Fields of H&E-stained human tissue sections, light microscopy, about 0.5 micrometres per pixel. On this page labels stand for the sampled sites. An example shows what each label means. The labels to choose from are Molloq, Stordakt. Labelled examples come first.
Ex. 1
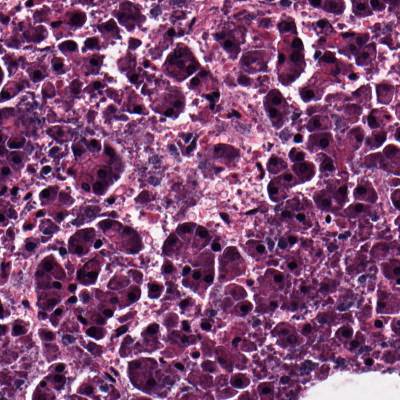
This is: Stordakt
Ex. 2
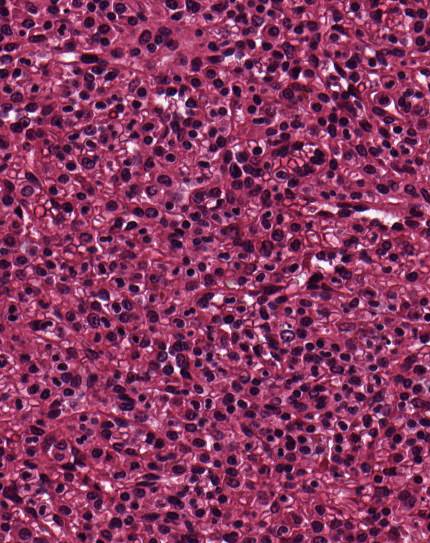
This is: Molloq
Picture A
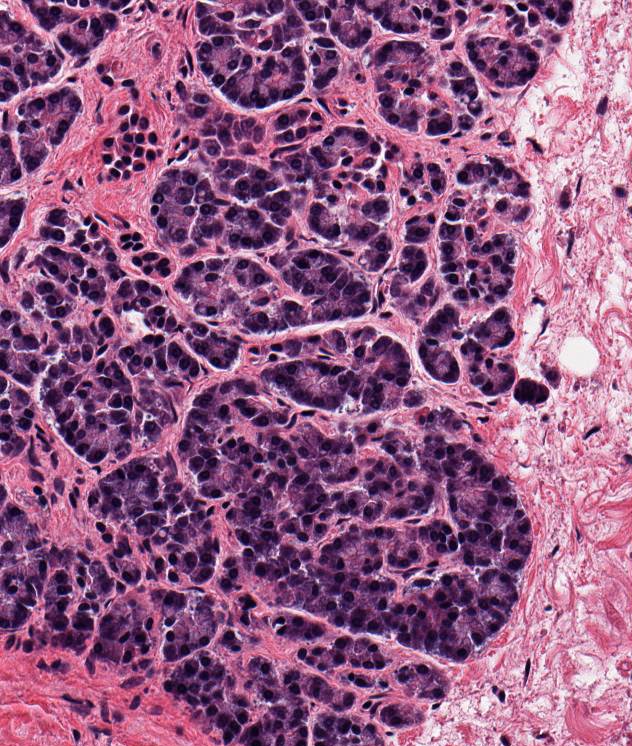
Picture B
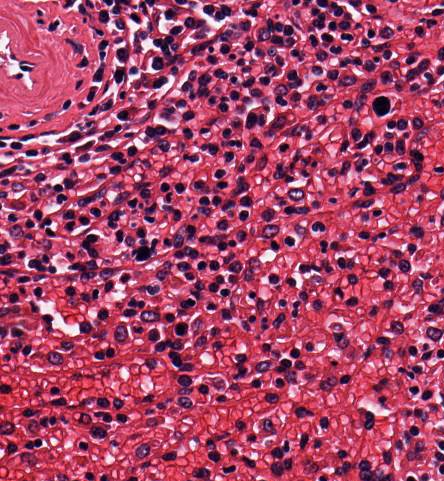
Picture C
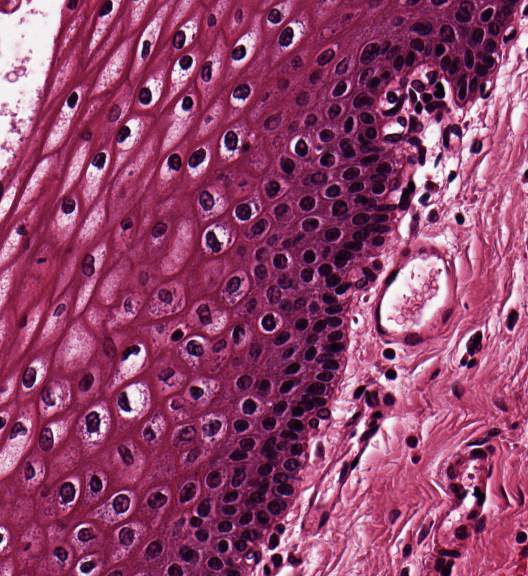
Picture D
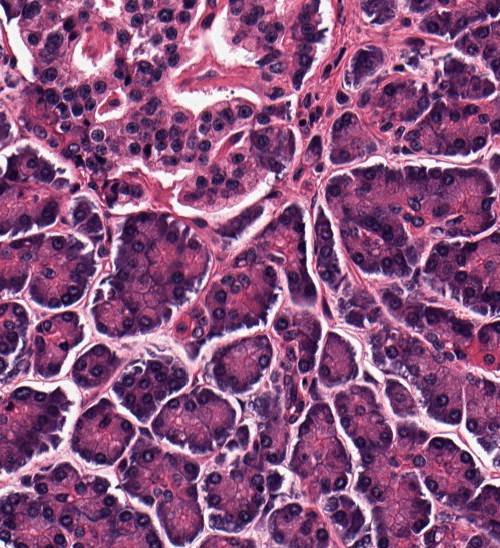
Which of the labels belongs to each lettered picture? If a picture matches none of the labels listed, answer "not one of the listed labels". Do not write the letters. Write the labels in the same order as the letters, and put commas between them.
Stordakt, Molloq, not one of the listed labels, Stordakt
